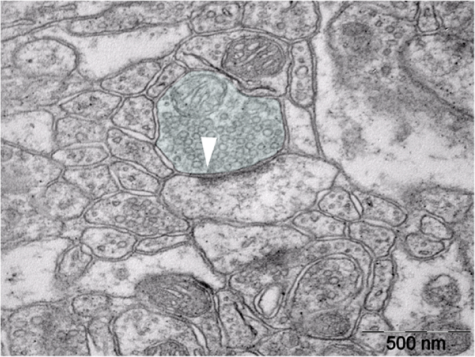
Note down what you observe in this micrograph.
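This electron micrograph shows neuropil with a presynaptic bouton, shaded light blue, packed with many small round clear synaptic vesicles. At its lower edge the bouton's membrane meets a neighbouring postsynaptic profile at a short, dark, thickened contact, the active zone, marked by the arrowhead, with vesicles gathered close to it. The tissue is well preserved with crisp membranes.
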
